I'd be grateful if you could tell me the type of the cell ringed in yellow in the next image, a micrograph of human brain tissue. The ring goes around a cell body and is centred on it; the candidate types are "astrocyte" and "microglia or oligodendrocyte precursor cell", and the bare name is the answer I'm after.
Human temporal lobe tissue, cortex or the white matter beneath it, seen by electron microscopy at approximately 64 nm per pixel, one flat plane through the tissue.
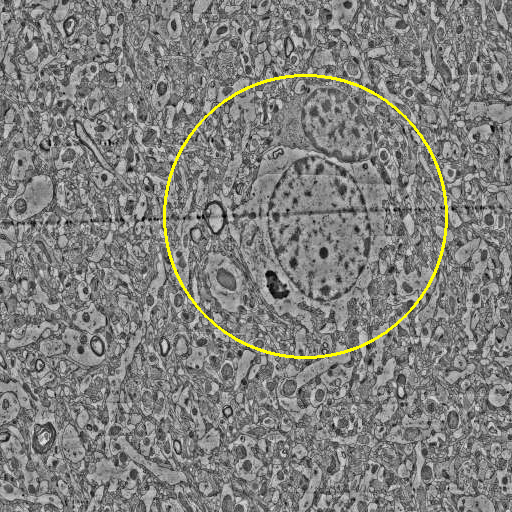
astrocyte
